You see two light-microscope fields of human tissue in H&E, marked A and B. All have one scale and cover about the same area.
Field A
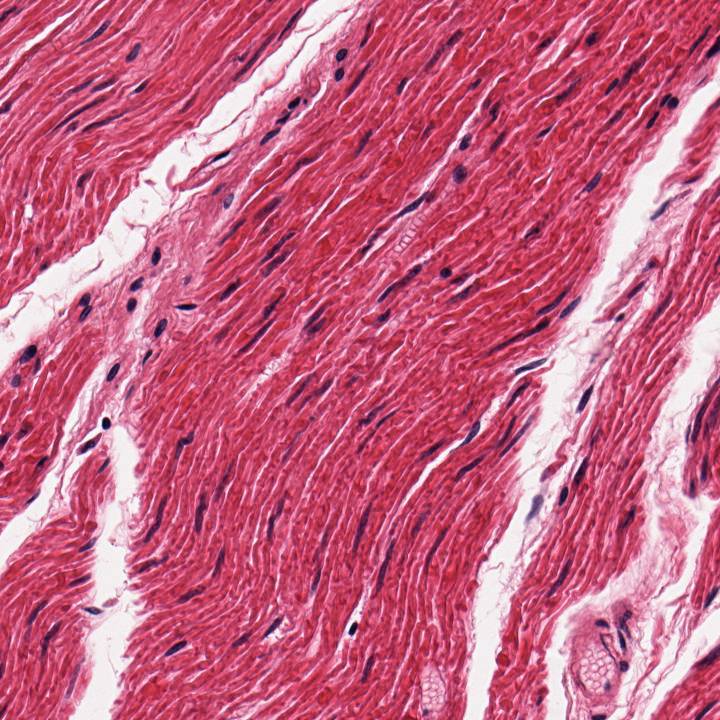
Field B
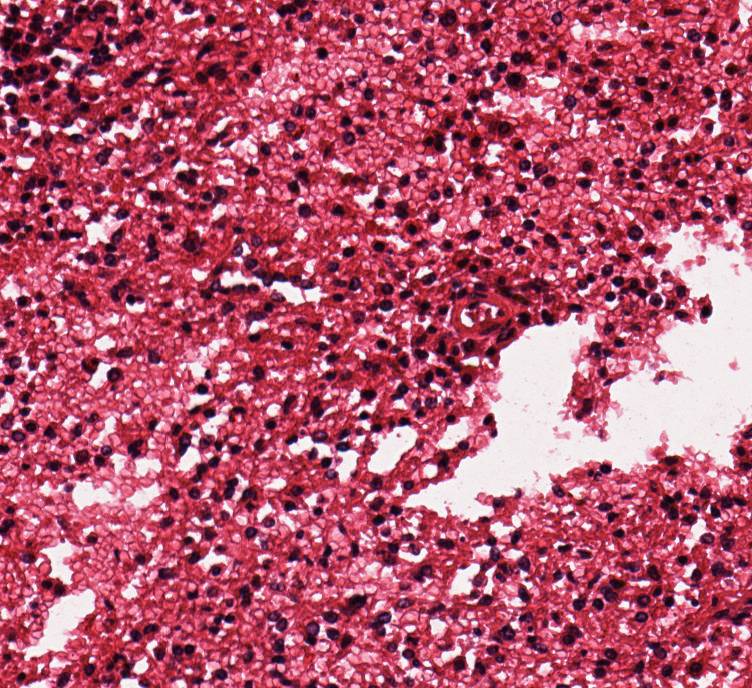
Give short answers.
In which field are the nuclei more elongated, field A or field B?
A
